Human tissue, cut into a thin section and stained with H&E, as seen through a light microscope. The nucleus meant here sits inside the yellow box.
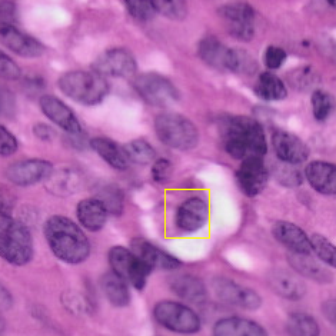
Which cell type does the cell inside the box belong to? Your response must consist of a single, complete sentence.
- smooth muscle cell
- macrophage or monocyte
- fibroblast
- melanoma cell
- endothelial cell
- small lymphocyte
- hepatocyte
Histopathologically, the cell inside the box is a macrophage or monocyte.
